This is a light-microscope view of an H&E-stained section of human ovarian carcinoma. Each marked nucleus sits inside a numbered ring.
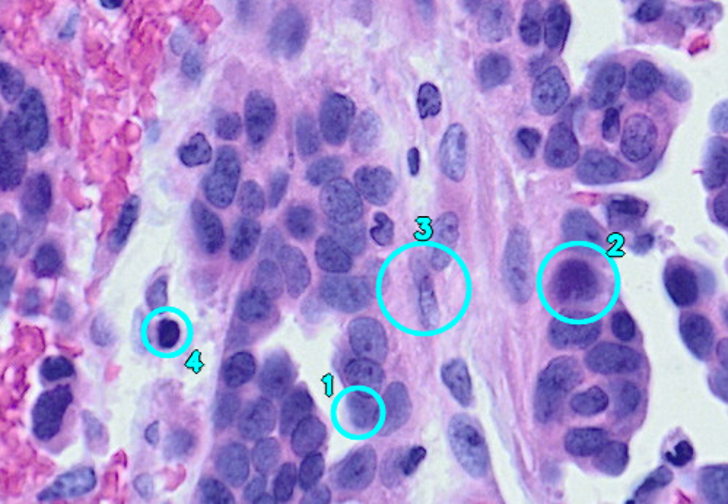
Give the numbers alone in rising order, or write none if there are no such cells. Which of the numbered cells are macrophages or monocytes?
none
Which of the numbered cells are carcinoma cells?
1, 2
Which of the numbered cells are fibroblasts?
3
